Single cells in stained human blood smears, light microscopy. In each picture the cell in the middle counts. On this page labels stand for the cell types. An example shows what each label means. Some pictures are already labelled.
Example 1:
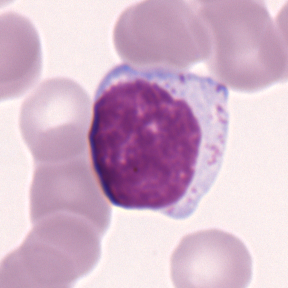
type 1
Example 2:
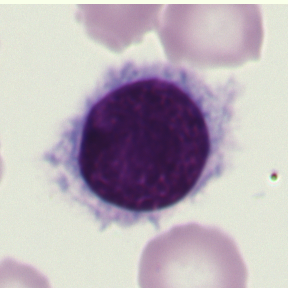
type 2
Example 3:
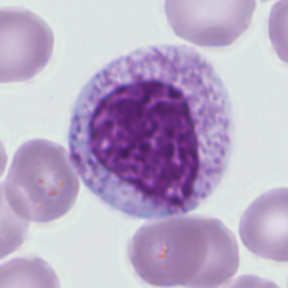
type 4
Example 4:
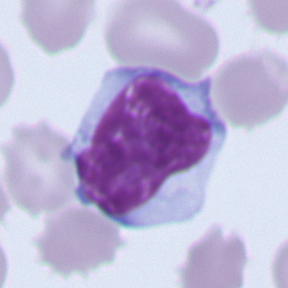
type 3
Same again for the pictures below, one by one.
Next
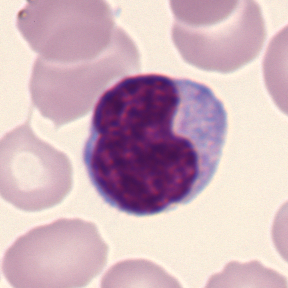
type 3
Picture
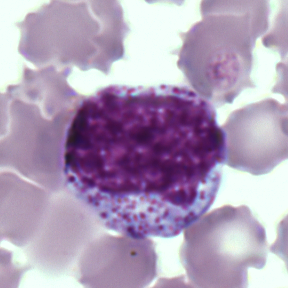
type 4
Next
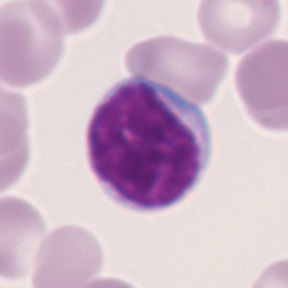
type 1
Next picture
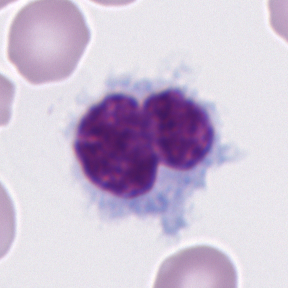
type 2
